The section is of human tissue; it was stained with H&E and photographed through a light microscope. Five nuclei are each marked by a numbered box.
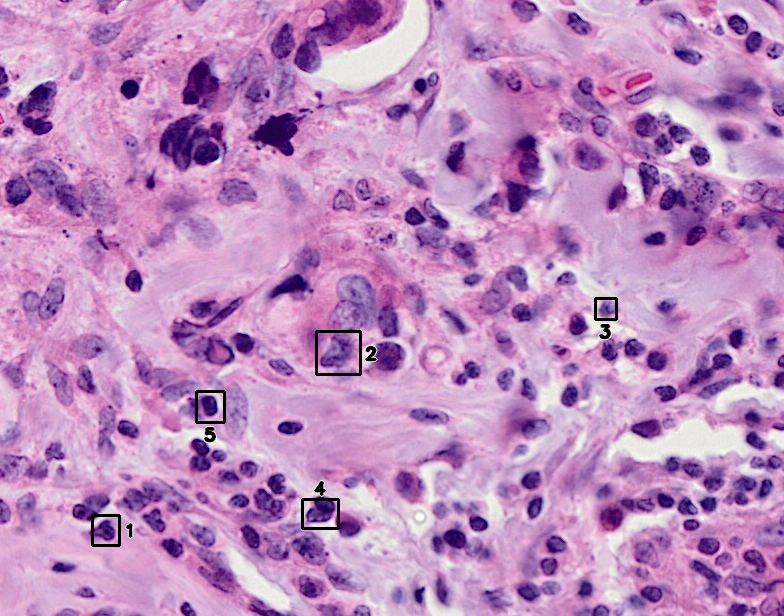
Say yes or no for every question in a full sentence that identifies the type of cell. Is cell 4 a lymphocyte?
Yes, the cell with the mark numbered 4 is a lymphocyte.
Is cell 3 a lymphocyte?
No, the cell with the number 3 is a mast cell, not a lymphocyte.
